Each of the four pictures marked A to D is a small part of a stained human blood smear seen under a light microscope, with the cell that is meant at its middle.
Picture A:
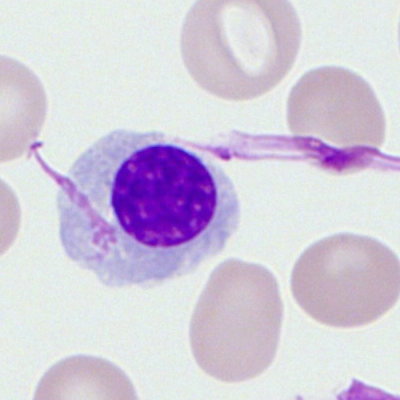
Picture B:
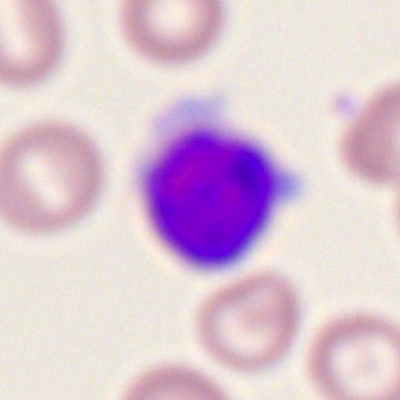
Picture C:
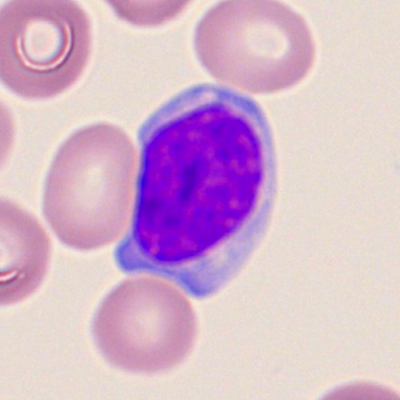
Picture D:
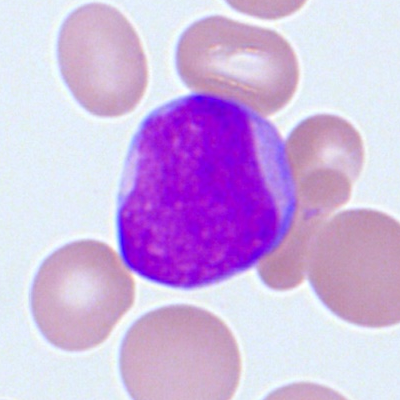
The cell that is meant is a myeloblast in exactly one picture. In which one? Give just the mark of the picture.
D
